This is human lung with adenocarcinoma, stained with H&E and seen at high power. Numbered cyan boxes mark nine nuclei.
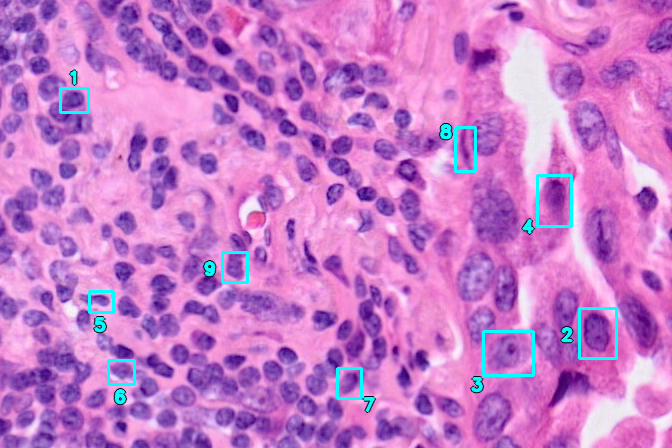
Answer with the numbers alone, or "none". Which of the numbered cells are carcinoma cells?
2, 3, 4, 8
